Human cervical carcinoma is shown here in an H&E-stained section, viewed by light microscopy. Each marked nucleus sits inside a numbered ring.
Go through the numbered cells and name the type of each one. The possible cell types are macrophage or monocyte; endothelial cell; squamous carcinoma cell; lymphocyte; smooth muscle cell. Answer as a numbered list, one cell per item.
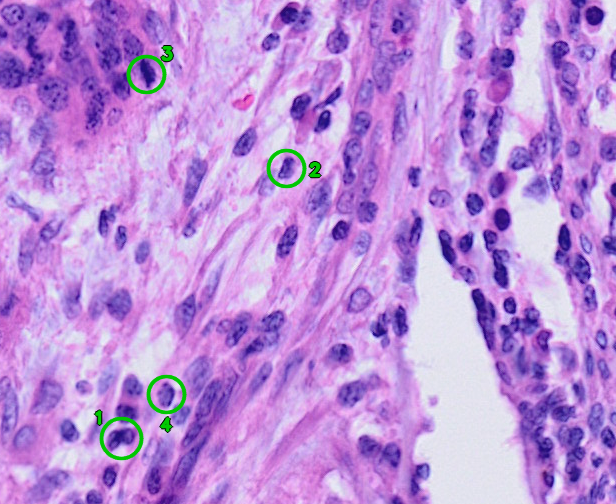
1. lymphocyte
2. lymphocyte
3. squamous carcinoma cell
4. lymphocyte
